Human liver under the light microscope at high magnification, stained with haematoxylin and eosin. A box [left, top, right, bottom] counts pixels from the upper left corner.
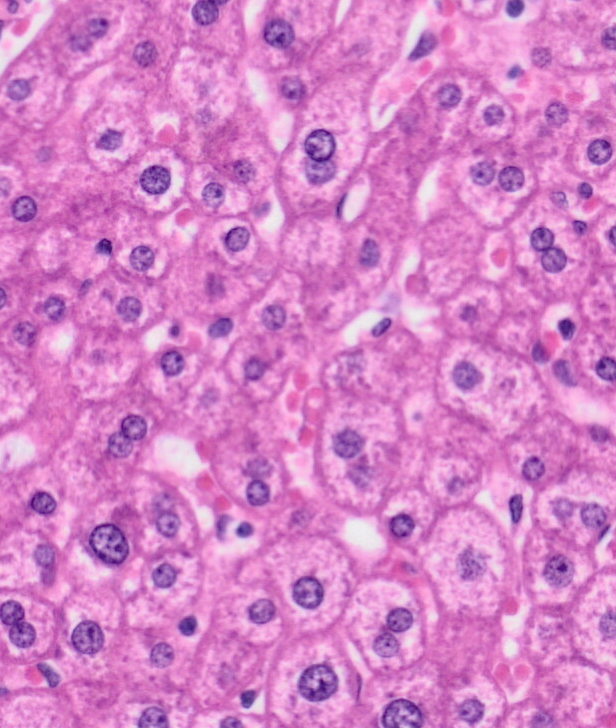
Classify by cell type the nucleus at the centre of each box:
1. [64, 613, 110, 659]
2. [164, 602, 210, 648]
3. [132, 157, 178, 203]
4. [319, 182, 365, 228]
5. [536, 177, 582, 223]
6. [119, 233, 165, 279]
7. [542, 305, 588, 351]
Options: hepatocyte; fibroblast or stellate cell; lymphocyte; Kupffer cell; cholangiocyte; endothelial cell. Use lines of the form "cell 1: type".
cell 1: hepatocyte
cell 2: lymphocyte
cell 3: hepatocyte
cell 4: endothelial cell
cell 5: Kupffer cell
cell 6: hepatocyte
cell 7: lymphocyte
